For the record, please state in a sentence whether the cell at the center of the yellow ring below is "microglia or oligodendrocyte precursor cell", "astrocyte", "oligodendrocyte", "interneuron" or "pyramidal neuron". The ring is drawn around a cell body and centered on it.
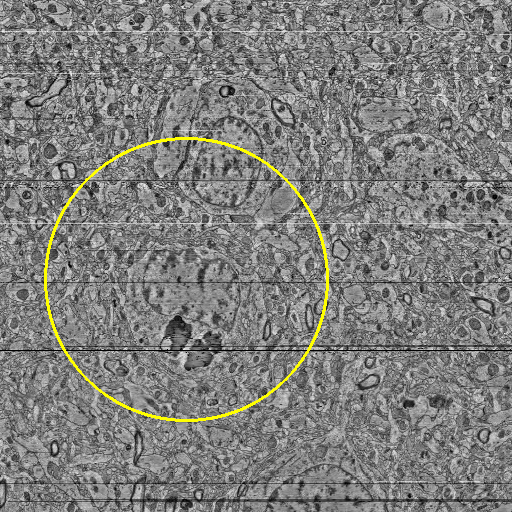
The cell at the ring's center is an interneuron.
